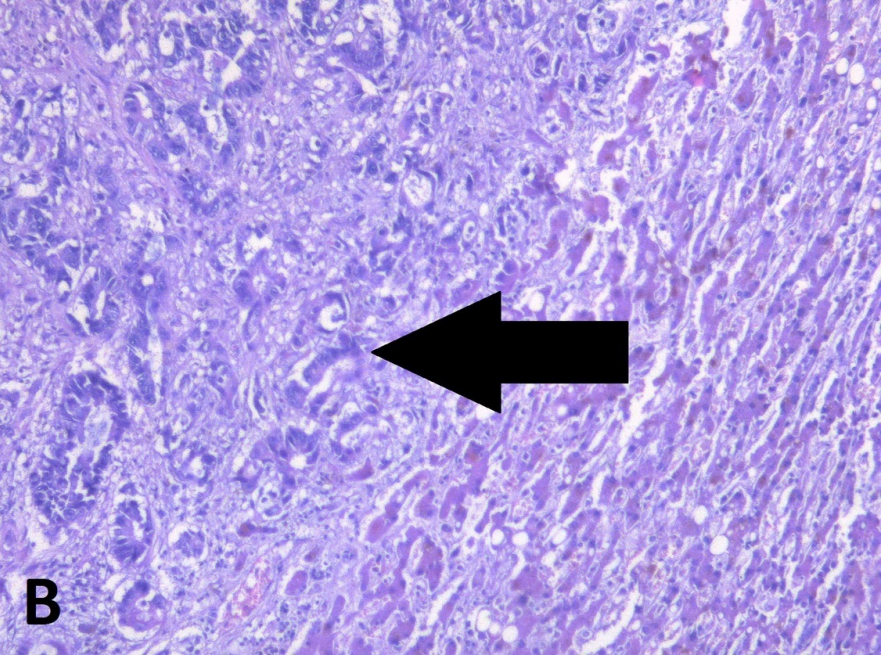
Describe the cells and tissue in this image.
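Liver tissue in which atypical glands on the left abut and infiltrate the liver parenchyma on the right. The glands are irregular tubules lined by crowded cells with enlarged, dark purple, elongated nuclei and little cytoplasm, set in a pale fibrous stroma. The parenchyma consists of cords of polygonal cells with pink cytoplasm, separated by narrow spaces and scattered small clear round vacuoles.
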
